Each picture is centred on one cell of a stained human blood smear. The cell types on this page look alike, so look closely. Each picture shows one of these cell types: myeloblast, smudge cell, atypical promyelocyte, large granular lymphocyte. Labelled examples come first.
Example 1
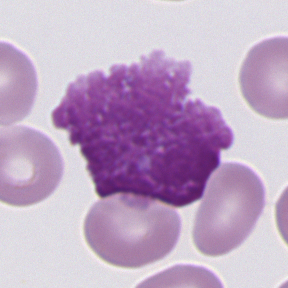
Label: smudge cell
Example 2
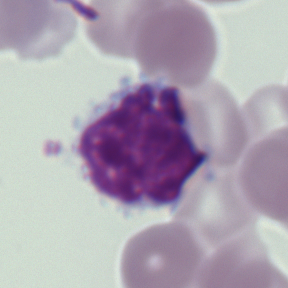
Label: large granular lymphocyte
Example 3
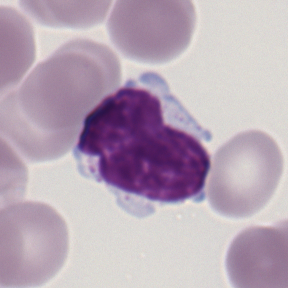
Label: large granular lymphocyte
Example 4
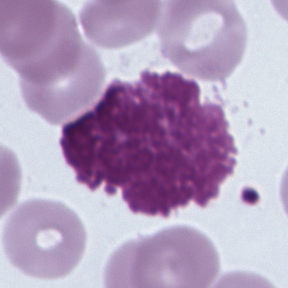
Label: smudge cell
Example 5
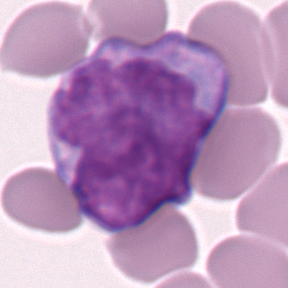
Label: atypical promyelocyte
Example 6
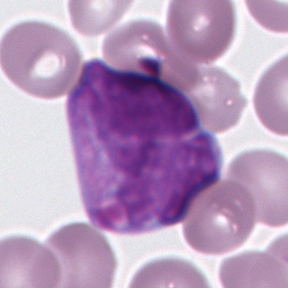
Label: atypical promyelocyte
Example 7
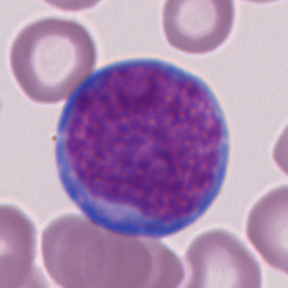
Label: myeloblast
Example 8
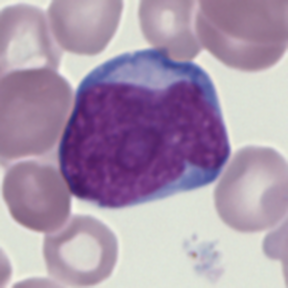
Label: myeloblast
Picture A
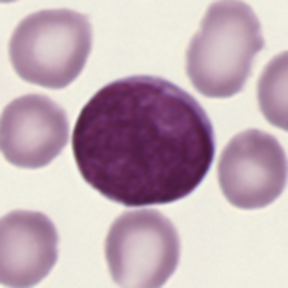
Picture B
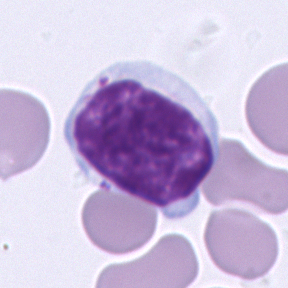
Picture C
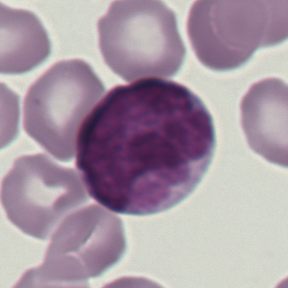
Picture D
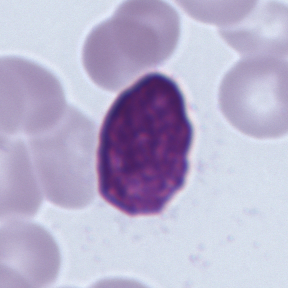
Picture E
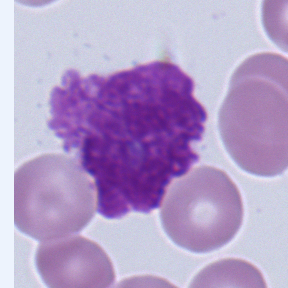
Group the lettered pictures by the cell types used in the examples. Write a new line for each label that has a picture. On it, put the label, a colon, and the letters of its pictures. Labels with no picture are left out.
myeloblast: A, C
smudge cell: D, E
large granular lymphocyte: B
